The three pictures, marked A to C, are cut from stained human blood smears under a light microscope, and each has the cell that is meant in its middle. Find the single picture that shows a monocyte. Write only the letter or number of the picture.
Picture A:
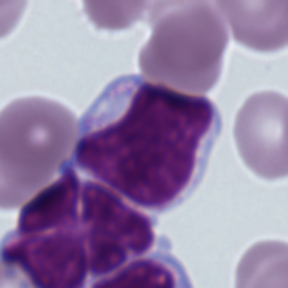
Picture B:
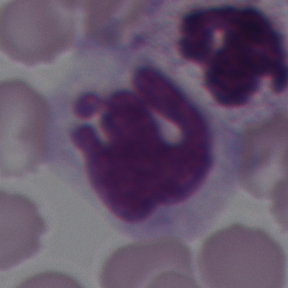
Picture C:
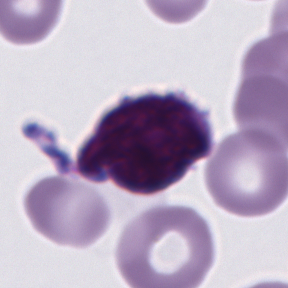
B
